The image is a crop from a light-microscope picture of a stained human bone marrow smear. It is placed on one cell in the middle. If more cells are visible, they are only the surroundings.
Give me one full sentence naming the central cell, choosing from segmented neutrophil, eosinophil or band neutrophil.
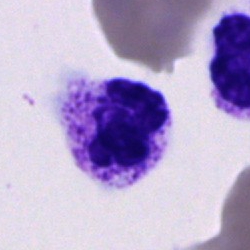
In short, the cell at the center is a segmented neutrophil.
